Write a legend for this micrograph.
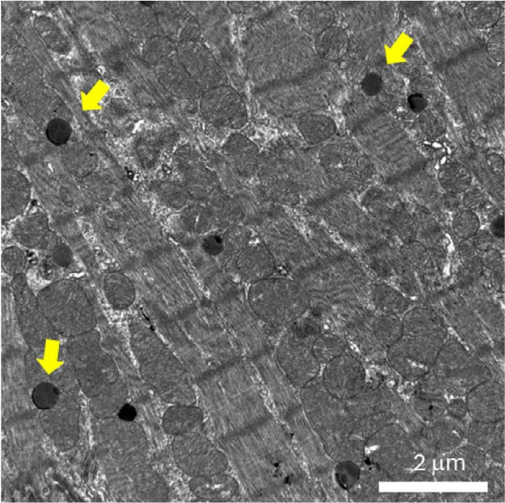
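Heart muscle cell cut along its length, showing closely packed myofibrils and mitochondria. Striated myofibrils run diagonally across the field, with regular dark bands repeating along them. Between the myofibril bundles lie rows of oval mitochondria of fairly even size, filled with tightly stacked cristae. Scattered among them are a few small, round, uniformly very dark bodies, the lipid droplets, each lying next to mitochondria. The cytoplasm between organelles is sparse, and the overall arrangement is compact and orderly.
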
